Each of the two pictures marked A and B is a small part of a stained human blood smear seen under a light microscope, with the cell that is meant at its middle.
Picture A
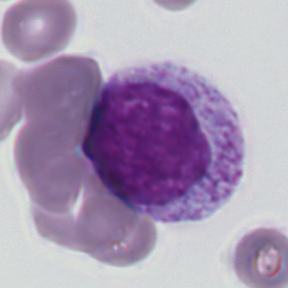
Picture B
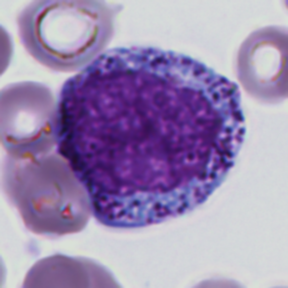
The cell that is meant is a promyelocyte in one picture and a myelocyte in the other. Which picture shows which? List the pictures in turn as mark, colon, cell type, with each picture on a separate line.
A: myelocyte
B: promyelocyte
